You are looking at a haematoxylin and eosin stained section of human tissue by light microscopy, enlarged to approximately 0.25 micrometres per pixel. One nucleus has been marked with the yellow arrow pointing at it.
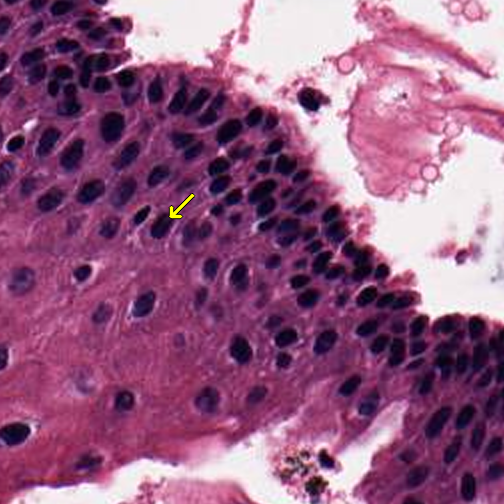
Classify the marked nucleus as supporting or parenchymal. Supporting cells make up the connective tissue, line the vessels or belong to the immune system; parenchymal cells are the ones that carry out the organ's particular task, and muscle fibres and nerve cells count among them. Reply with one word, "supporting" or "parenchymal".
parenchymal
